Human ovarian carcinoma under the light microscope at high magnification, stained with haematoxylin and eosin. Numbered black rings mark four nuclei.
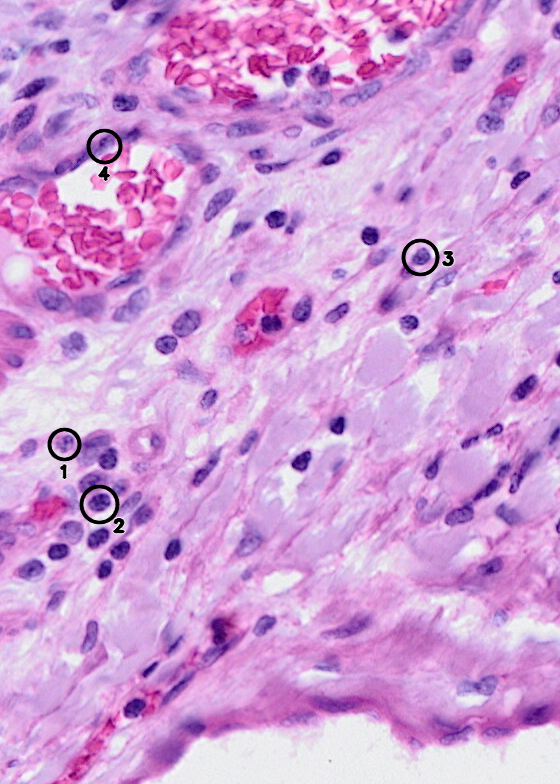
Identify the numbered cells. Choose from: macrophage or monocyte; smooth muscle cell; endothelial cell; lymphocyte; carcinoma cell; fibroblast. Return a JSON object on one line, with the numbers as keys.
{"1": "lymphocyte", "2": "lymphocyte", "3": "lymphocyte", "4": "endothelial cell"}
